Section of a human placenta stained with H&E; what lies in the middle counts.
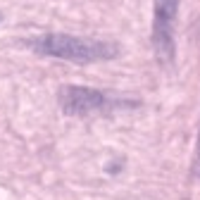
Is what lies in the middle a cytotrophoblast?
No, it is a vascular myocyte.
